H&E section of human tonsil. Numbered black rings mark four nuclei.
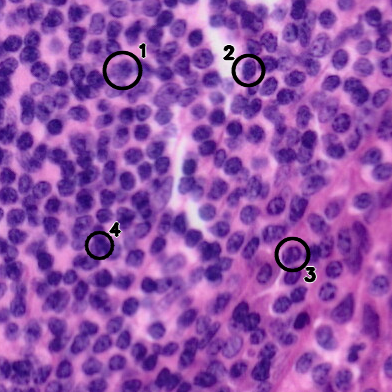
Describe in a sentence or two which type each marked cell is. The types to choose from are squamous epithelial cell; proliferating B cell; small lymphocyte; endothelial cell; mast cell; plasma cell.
Cell 1 is a small lymphocyte, cell 2 is a small lymphocyte, cell 3 is a plasma cell and cell 4 is a small lymphocyte.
